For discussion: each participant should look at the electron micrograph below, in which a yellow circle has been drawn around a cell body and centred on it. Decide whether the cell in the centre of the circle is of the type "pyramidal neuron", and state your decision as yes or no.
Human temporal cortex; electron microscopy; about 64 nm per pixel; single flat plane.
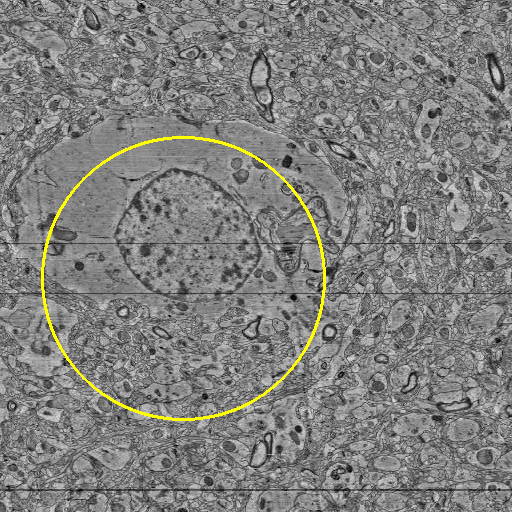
no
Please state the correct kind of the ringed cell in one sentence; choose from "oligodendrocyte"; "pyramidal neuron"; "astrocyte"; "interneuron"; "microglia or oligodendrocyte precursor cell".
The cell that the ring is centred on is an astrocyte.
